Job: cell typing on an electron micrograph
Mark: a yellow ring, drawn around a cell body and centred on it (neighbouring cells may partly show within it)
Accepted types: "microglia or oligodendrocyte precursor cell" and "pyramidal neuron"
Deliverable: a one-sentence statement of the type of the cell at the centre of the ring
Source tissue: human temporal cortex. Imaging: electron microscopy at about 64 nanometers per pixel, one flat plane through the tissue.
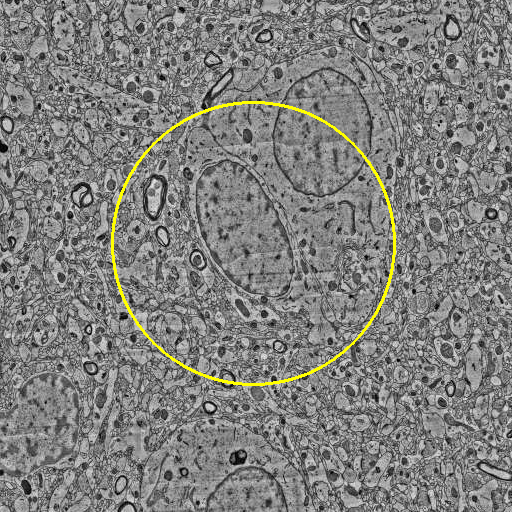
The centred cell body is that of a microglial cell or oligodendrocyte precursor cell.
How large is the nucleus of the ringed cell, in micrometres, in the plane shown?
The ringed cell's nucleus is roughly 9 by 5 micrometres and clearly longer than it is wide in this plane.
